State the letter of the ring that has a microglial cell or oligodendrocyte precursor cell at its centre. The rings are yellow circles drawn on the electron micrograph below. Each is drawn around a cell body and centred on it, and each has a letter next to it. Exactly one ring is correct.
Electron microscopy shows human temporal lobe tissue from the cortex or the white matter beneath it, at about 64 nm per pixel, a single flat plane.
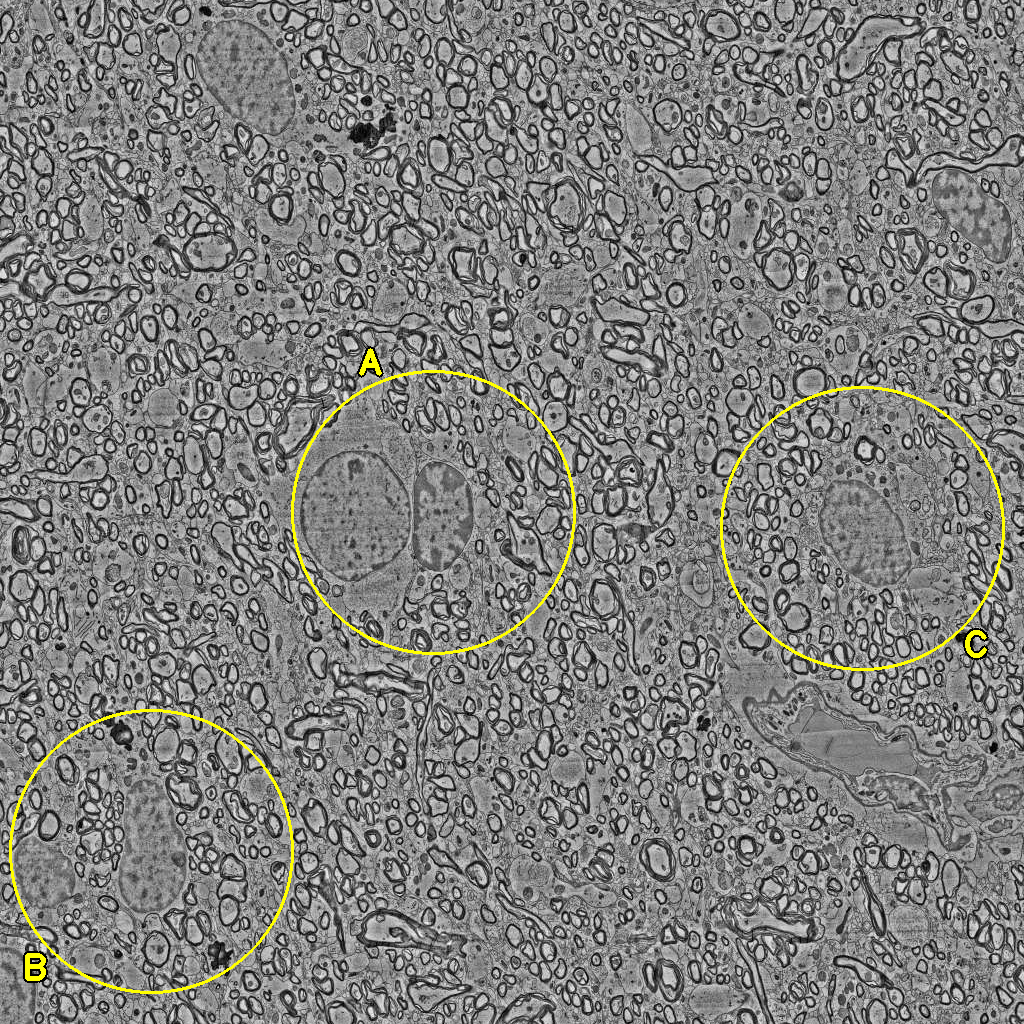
A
